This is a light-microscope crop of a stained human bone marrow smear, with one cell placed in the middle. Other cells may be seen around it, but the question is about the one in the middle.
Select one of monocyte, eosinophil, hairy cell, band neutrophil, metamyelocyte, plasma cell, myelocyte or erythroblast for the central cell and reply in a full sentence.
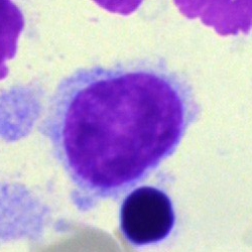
The centrally placed cell is classified as a hairy cell.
